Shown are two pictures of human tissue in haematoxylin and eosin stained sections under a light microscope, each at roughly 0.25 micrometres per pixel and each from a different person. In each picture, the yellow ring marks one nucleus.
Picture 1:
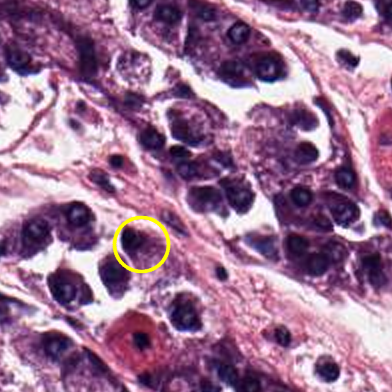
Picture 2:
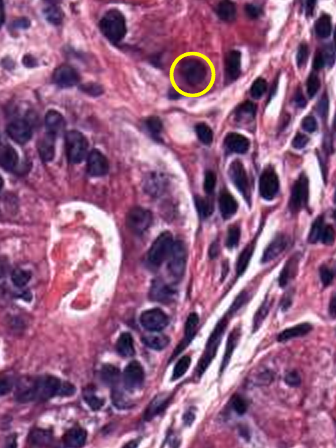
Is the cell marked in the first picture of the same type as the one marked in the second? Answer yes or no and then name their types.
No, the first is a chief cell and the second a parietal cell.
